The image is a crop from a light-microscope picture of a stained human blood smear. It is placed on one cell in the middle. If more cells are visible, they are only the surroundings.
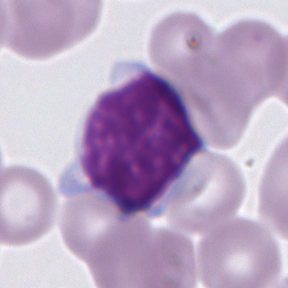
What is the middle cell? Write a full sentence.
The middle of this crop holds a large granular lymphocyte.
